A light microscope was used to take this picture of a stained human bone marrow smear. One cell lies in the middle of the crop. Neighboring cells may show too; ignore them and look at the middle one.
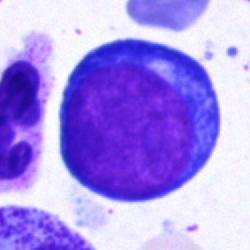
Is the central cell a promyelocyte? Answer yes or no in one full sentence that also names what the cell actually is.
No, the cell at the center of this crop is a proerythroblast instead of a promyelocyte.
